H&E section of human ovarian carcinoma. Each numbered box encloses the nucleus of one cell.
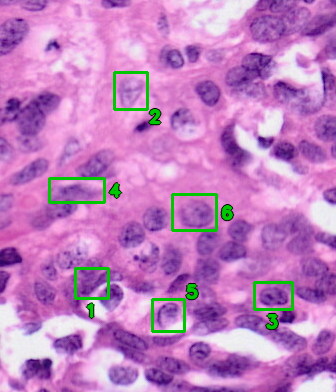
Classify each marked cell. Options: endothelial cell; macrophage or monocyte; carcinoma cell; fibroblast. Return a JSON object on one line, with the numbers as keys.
{"1": "carcinoma cell", "2": "fibroblast", "3": "macrophage or monocyte", "4": "endothelial cell", "5": "macrophage or monocyte", "6": "carcinoma cell"}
